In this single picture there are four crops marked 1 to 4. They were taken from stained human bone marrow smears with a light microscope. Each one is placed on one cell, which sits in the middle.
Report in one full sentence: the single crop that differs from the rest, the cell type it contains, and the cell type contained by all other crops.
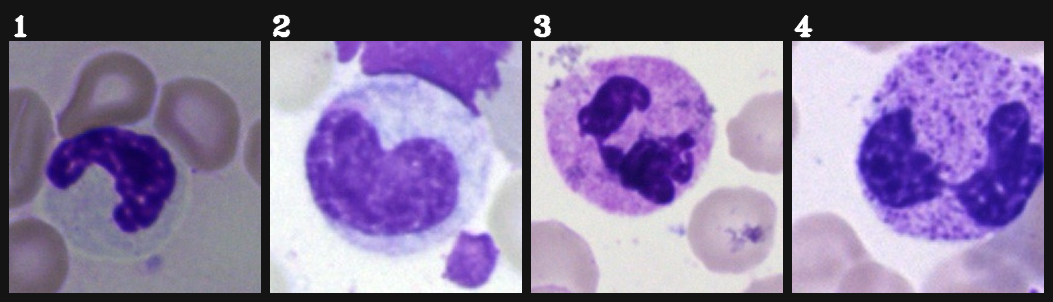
Unlike the other crops, all showing segmented neutrophils, crop 2 is a band neutrophil.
